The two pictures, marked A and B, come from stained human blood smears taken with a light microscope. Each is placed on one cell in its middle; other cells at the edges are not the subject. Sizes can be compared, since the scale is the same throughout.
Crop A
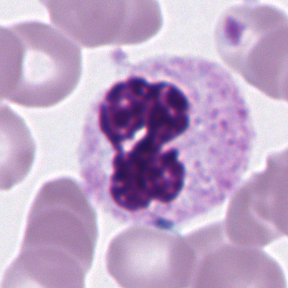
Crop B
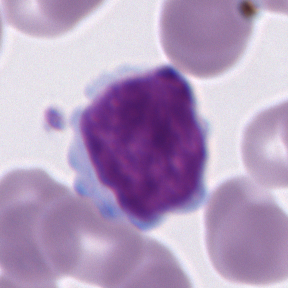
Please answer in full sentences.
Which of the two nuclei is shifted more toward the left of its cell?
The nucleus in crop A lies further toward the left of its cell.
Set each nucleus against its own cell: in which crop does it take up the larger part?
Of the two, the nucleus in crop B makes up the greater part of its cell.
